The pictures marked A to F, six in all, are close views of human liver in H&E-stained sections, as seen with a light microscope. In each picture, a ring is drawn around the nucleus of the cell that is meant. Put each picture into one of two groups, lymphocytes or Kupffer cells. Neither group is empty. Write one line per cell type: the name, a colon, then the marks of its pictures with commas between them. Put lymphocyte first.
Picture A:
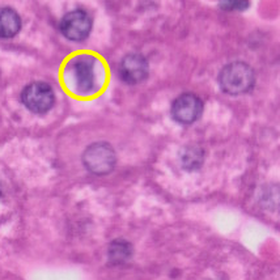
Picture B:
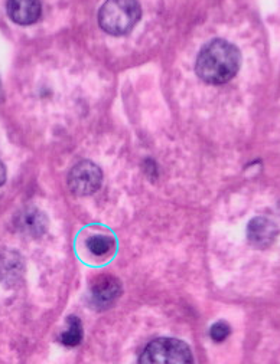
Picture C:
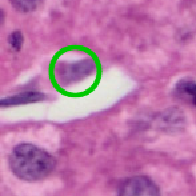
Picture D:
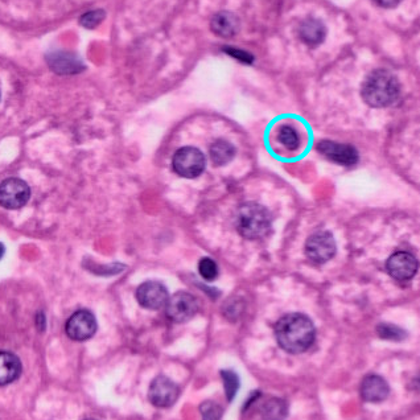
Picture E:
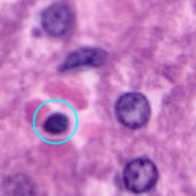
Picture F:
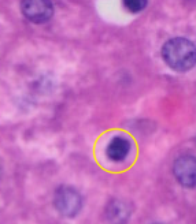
lymphocyte: B, D, E, F
Kupffer cell: A, C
